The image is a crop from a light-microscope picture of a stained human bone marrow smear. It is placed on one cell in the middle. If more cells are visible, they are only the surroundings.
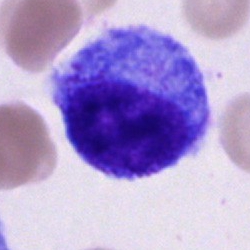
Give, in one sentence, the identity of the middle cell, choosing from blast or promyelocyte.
Seen at the centre of the crop is a promyelocyte.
